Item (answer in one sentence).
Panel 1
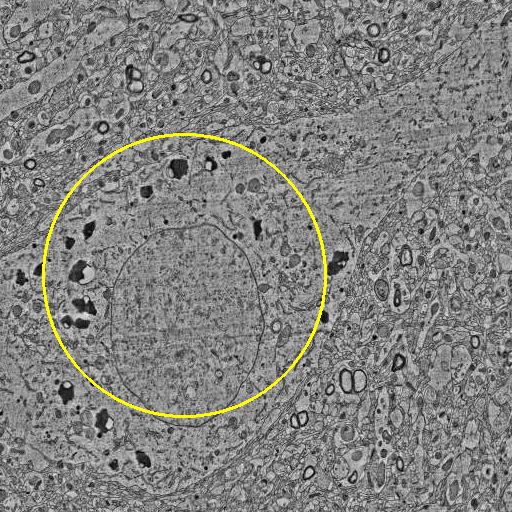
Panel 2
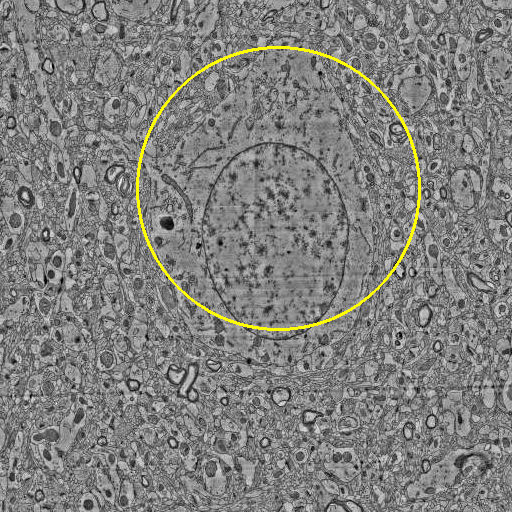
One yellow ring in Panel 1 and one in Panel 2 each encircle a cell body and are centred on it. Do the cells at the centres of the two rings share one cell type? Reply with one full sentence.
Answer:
Yes, Panel 1 and Panel 2 show cells of one type at the centres of their rings.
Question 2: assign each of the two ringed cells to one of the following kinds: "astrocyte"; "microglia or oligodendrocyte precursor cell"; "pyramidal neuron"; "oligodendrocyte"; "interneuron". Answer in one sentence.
In each picture the ringed cell is a pyramidal neuron.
